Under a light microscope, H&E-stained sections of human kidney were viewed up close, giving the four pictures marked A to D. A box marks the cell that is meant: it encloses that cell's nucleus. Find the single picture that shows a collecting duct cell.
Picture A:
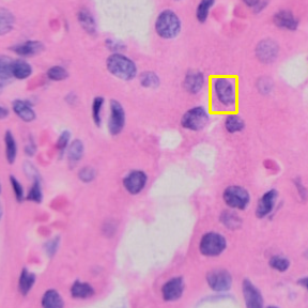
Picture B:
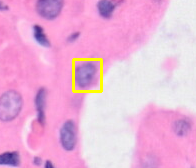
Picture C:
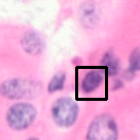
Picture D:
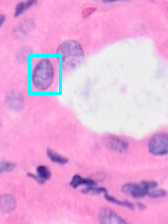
C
